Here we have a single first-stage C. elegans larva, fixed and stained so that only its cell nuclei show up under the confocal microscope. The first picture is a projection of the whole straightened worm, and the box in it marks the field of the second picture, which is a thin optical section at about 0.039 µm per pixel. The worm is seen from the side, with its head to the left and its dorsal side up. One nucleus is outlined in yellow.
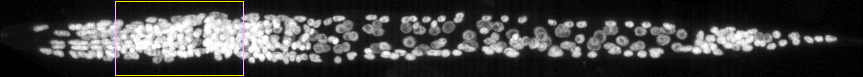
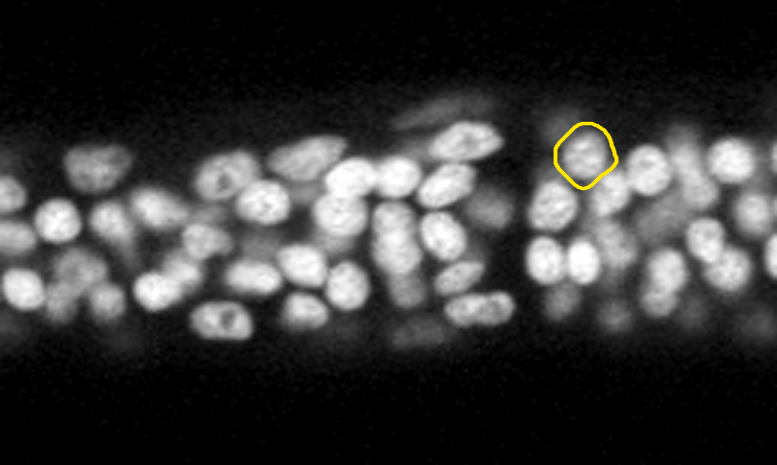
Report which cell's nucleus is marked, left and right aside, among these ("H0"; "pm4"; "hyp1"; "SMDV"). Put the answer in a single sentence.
It belongs to SMDV, a neuron.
